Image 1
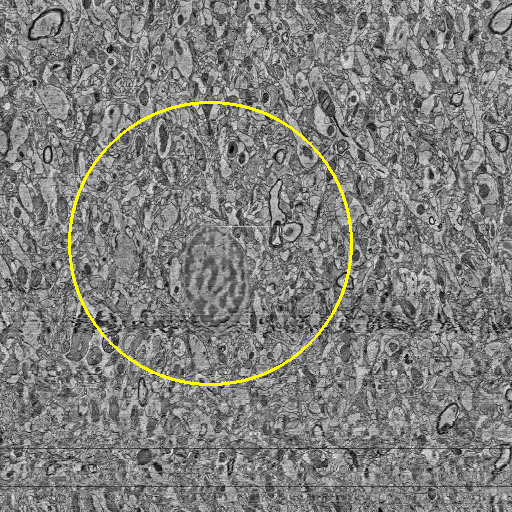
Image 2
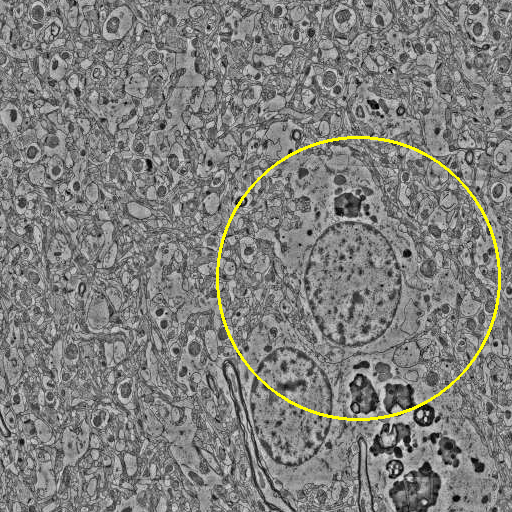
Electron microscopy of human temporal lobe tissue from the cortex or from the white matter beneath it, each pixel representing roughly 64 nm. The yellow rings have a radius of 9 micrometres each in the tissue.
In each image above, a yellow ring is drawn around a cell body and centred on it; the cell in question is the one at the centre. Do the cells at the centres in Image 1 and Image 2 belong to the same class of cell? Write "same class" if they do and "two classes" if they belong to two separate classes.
two classes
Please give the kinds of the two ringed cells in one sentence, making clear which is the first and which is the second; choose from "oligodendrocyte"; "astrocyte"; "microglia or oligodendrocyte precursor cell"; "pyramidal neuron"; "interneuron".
In the second picture the ringed cell is an astrocyte; in the first it is an oligodendrocyte.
